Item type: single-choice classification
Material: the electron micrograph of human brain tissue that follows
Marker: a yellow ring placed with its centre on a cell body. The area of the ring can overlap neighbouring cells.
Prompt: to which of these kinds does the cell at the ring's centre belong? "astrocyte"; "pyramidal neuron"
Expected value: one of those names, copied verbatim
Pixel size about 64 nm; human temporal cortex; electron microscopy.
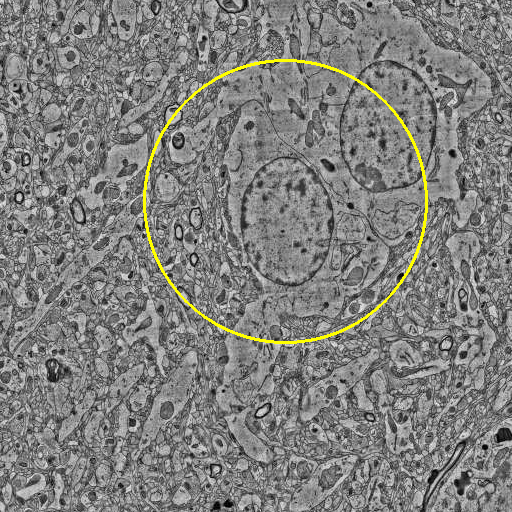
astrocyte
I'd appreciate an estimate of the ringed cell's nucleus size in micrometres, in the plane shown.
In this plane, approximately 8 by 6 micrometers.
